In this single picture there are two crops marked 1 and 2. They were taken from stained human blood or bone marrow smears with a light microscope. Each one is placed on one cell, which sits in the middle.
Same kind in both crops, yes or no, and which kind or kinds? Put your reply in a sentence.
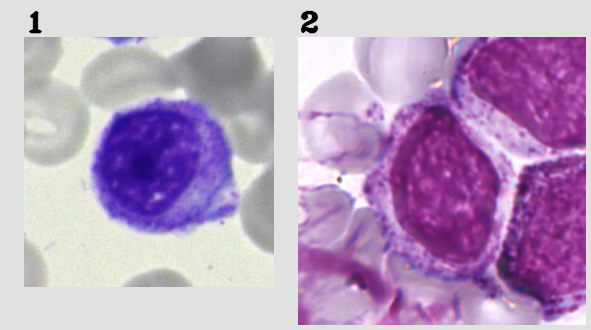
Yes, at the centre of both crops are myelocytes.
